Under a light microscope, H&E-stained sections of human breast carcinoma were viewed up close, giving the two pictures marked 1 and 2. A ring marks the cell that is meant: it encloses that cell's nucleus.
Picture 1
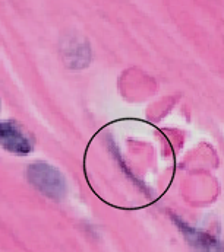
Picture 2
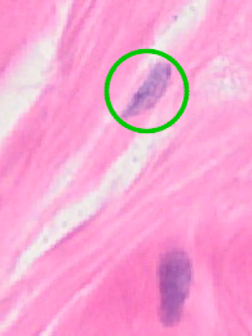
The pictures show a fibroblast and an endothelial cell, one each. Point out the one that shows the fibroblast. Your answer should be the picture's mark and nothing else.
2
